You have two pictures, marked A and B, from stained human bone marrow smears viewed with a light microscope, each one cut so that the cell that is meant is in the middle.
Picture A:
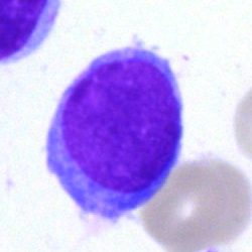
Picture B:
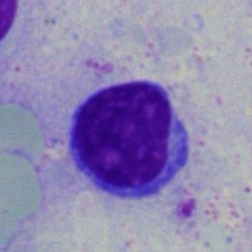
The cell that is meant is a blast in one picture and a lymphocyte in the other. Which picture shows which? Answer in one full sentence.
Picture A is of a blast, and picture B is of a lymphocyte.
